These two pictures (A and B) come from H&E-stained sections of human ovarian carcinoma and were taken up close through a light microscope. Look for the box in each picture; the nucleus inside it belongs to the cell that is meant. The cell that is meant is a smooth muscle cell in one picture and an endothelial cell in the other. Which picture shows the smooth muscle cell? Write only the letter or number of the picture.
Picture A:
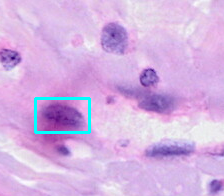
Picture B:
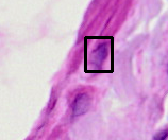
B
